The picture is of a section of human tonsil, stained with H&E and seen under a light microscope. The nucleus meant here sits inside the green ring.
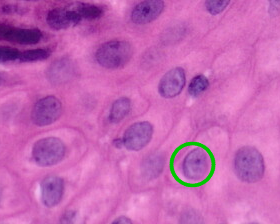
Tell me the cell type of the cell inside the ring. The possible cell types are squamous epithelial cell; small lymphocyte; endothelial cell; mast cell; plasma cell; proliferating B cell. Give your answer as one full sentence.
The cell inside the ring appears to be a squamous epithelial cell.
